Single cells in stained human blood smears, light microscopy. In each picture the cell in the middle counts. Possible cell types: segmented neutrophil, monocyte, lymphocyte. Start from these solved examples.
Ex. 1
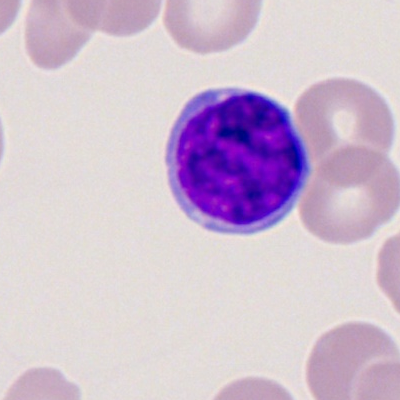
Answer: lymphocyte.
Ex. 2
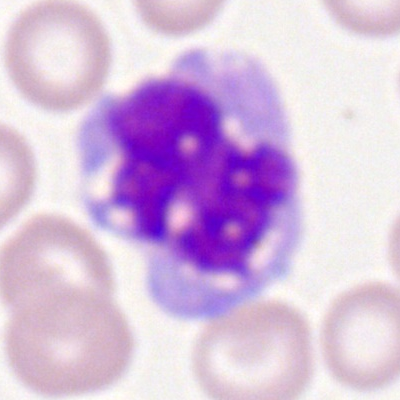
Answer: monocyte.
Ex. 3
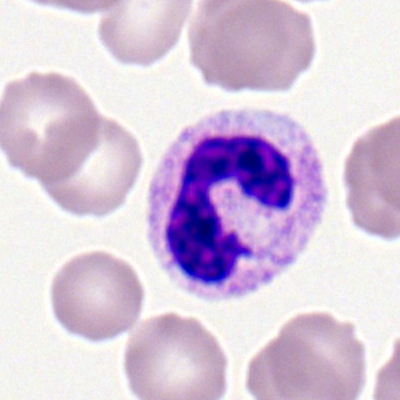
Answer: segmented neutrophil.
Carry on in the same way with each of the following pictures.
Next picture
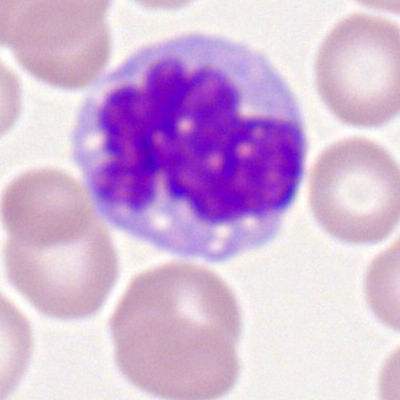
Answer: monocyte.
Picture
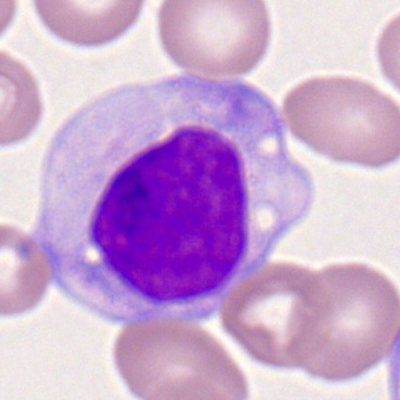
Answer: monocyte.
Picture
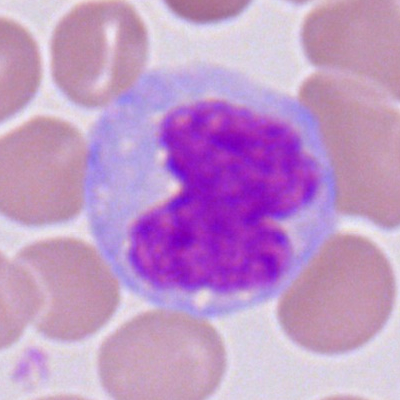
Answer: monocyte.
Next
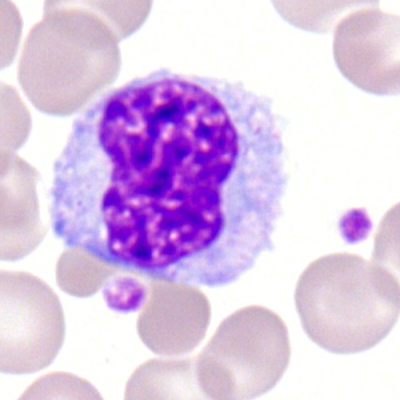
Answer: monocyte.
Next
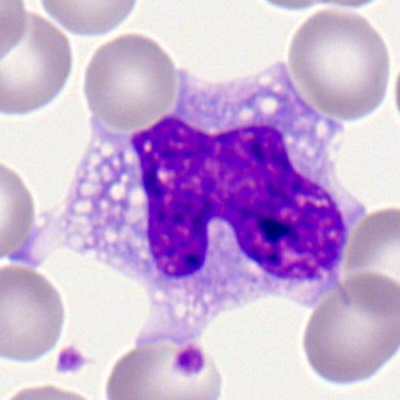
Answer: monocyte.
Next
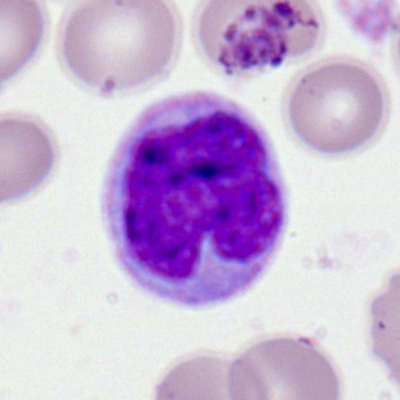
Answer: monocyte.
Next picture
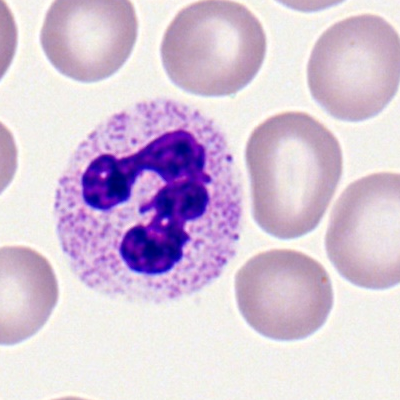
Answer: segmented neutrophil.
